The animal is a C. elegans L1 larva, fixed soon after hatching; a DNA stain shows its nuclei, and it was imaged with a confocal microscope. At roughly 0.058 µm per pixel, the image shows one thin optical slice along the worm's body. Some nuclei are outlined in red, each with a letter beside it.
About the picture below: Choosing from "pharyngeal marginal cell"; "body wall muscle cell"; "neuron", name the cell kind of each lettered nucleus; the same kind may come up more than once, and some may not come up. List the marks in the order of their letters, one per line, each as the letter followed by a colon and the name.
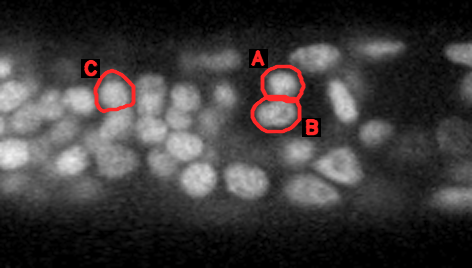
A: neuron
B: pharyngeal marginal cell
C: neuron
